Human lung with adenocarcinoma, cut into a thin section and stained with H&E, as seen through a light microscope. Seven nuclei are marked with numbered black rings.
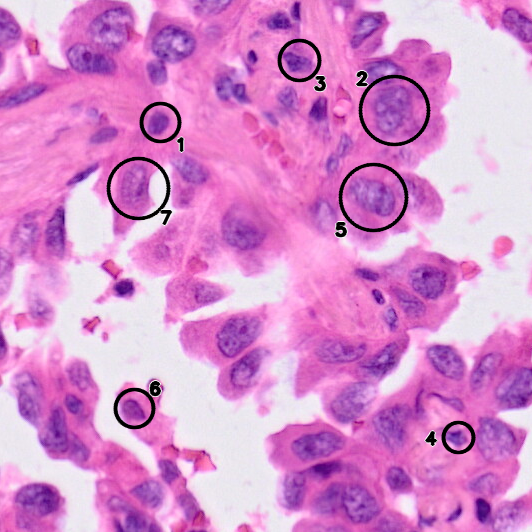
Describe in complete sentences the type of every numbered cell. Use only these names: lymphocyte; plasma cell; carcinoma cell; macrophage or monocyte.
Cells 1 and 4 are lymphocytes. Cells 2, 5 and 7 are carcinoma cells. Cell 3 is a plasma cell. Cell 6 is a macrophage or monocyte.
